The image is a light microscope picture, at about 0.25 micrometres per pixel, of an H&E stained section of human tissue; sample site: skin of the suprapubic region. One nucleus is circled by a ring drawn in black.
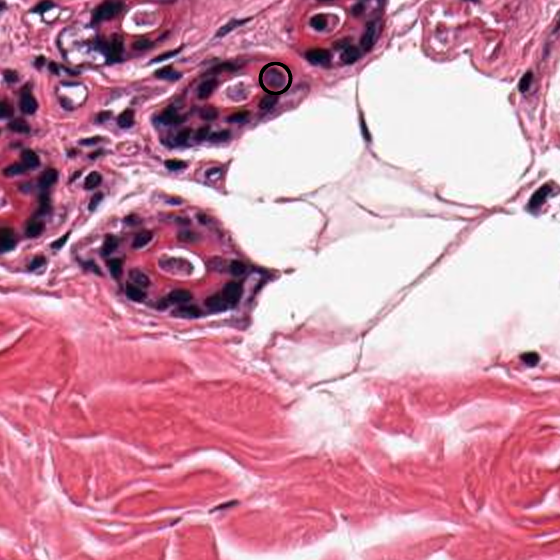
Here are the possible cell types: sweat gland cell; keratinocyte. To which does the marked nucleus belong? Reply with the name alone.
sweat gland cell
